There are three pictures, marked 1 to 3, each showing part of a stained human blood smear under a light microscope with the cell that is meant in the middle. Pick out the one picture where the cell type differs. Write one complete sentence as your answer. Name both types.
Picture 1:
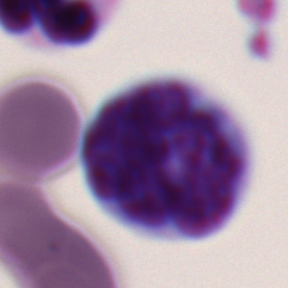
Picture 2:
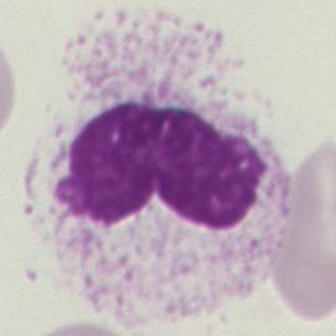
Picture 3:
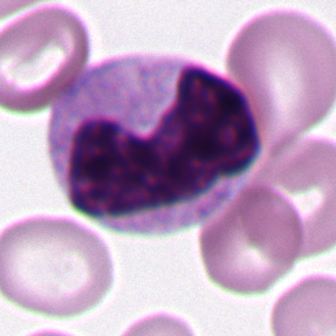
All pictures except 1 show band neutrophils; picture 1 shows a monocyte.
